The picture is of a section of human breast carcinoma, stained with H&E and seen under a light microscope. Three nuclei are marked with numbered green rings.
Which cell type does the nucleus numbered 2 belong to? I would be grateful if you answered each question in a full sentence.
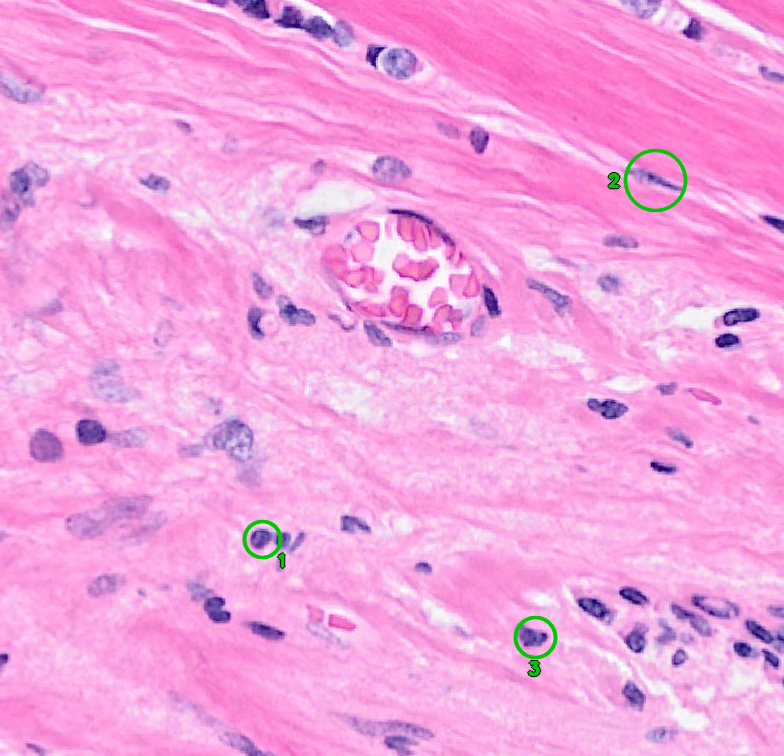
In the marked set, the cell given number 2 is a fibroblast.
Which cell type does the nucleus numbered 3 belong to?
The cell pointed out as number 3 is a lymphocyte.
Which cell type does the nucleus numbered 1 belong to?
Cell 1 is classified as a lymphocyte.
